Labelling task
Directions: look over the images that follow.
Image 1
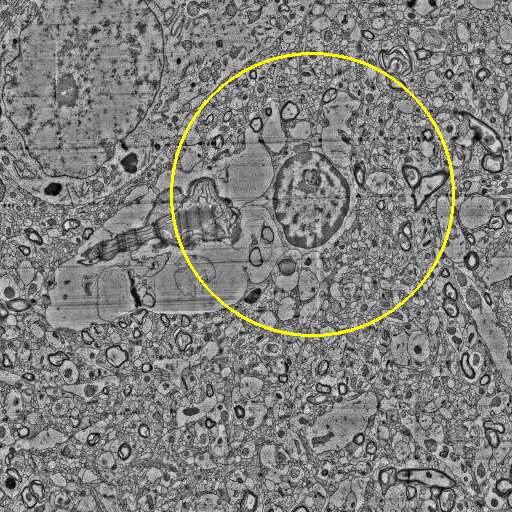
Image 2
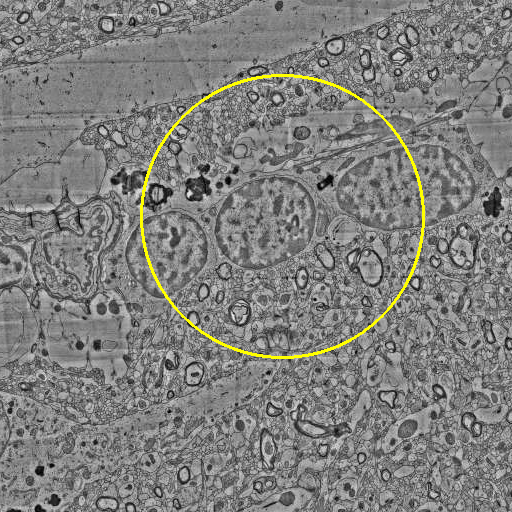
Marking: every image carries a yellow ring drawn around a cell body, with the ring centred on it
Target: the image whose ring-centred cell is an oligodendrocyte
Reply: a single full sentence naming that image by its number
The requested cell sits at the ring's centre in Image 2.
